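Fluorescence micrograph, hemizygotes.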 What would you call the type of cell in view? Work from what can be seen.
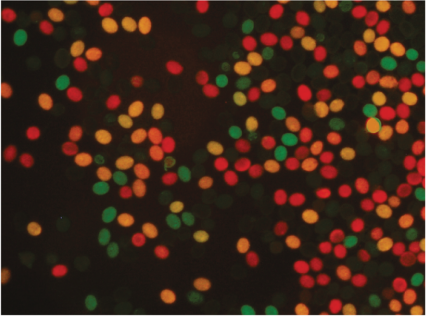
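Pollen. Many small, separate oval grains of fairly uniform size and shape. The grains lie scattered as free single units, not joined into a tissue. Individual grains glow red, green or orange, and some are dim.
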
